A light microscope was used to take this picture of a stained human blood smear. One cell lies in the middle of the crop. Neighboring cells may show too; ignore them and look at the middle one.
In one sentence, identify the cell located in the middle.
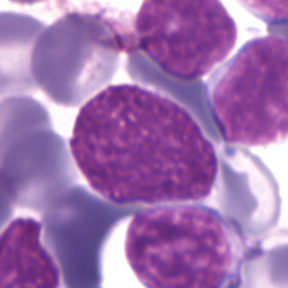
The centered cell in this crop is a blast.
